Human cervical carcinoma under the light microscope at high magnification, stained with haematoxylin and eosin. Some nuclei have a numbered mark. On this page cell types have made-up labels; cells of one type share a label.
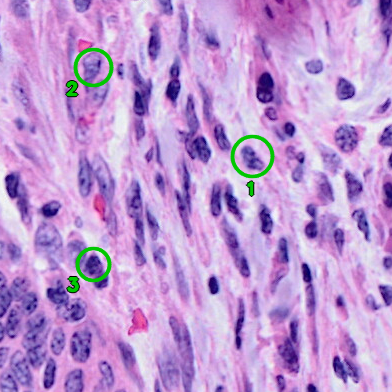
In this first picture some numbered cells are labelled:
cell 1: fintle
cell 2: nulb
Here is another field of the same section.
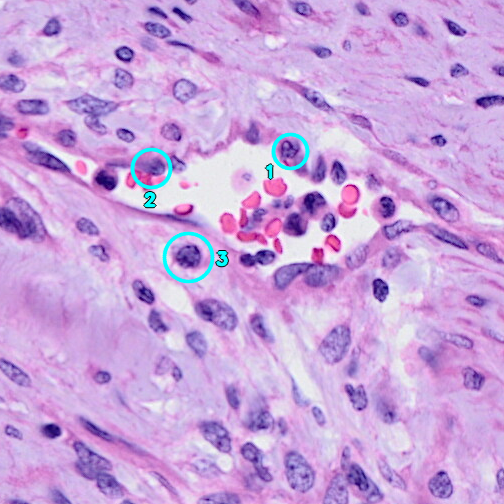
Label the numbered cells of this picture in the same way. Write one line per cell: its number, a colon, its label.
1: nulb
2: nulb
3: fintle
